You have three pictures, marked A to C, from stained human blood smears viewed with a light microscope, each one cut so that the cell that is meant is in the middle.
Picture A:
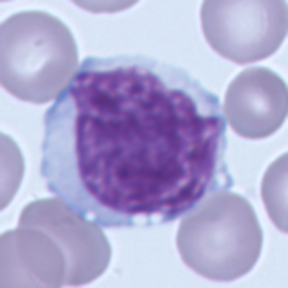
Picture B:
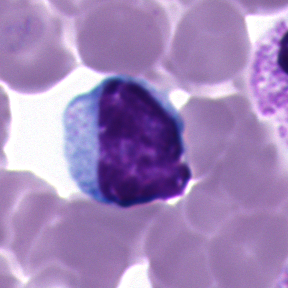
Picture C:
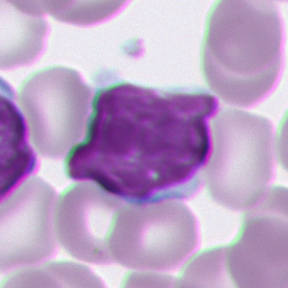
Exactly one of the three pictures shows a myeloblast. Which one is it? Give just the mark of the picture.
A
